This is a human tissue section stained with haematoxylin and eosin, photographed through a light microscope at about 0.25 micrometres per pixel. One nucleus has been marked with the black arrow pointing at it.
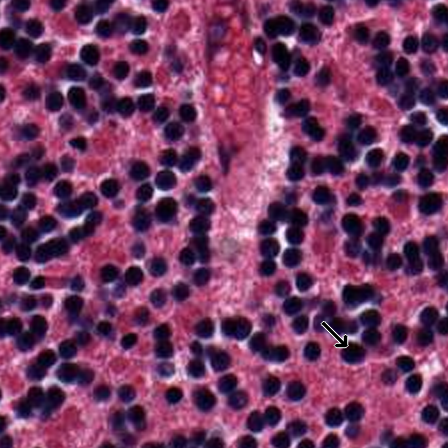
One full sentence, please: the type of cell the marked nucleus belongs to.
In this image, the nucleus that is marked belongs to a cerebellar granule cell.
